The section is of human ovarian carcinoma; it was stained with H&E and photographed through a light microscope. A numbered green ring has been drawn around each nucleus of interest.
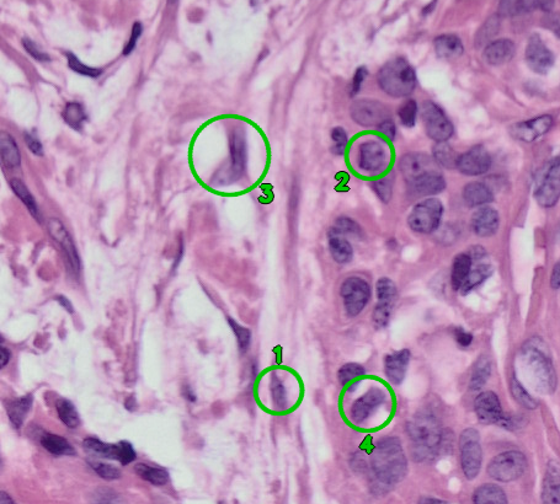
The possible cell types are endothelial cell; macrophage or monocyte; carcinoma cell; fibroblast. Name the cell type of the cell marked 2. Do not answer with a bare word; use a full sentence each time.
The cell identified by the number 2 is a macrophage or monocyte.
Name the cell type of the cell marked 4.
Cell 4, as marked in the section, is a carcinoma cell.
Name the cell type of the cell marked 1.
The cell referenced by the number 1 is a fibroblast in this field.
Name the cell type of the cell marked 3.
The cell given label 3 is a fibroblast.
